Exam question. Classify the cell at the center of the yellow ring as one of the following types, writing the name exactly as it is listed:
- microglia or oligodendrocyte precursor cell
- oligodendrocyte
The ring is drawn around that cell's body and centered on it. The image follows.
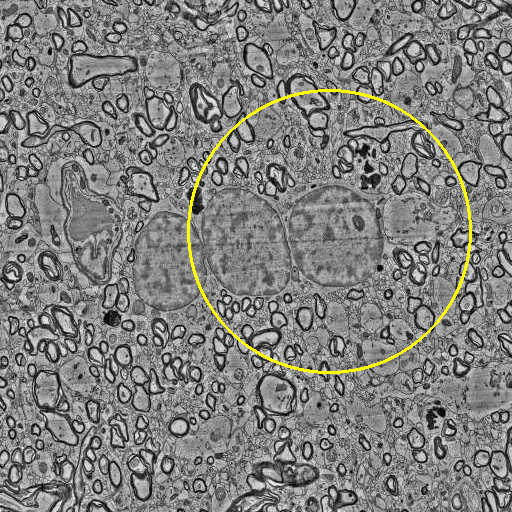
oligodendrocyte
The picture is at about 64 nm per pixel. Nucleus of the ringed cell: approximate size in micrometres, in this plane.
About 7 micrometres across in this plane, for the nucleus.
